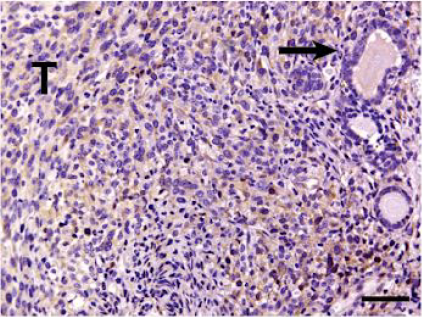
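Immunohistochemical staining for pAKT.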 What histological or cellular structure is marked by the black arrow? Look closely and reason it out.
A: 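The arrow points to a small ring of epithelial cells around a lumen at the upper right. Round ducts with pink luminal content lie nearby. On this evidence: adjacent glands.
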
